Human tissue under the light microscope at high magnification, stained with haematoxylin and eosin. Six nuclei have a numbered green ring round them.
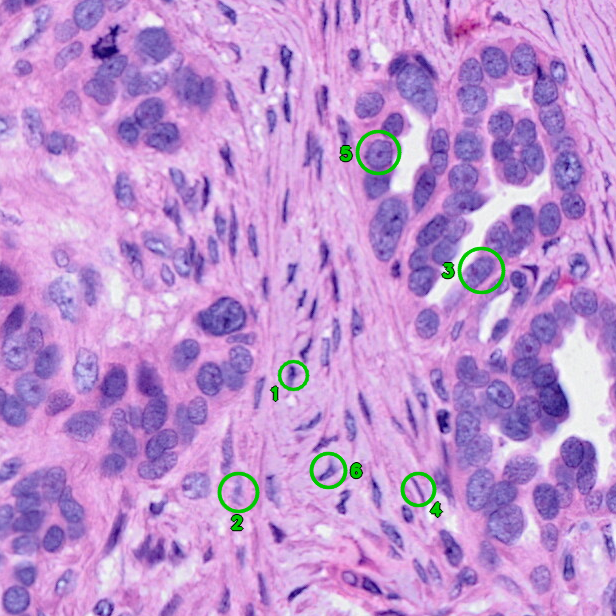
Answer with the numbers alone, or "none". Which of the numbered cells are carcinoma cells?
3, 5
